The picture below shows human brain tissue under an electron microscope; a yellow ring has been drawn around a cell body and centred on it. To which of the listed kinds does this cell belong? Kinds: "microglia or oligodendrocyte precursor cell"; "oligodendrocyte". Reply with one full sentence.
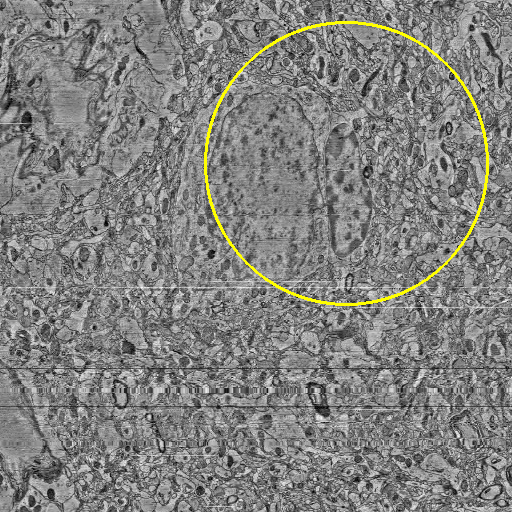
It is a microglial cell or oligodendrocyte precursor cell that the yellow ring in the picture is centred on.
